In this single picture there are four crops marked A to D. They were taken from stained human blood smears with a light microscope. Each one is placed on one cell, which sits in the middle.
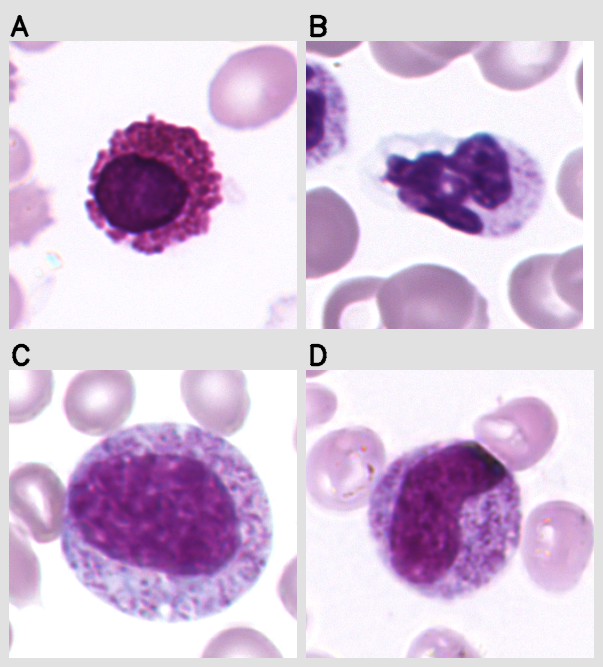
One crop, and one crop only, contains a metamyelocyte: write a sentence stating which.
Of the labeled crops, the one with a metamyelocyte is crop D.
